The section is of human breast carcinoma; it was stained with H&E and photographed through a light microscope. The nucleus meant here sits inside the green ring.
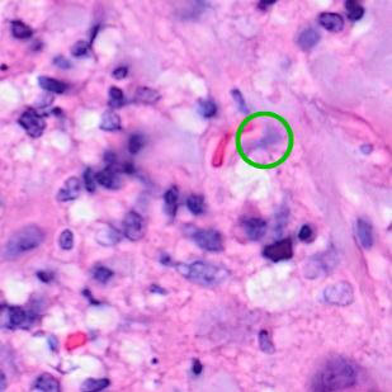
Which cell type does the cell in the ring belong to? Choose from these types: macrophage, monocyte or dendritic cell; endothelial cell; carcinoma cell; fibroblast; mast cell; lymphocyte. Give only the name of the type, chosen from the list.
endothelial cell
